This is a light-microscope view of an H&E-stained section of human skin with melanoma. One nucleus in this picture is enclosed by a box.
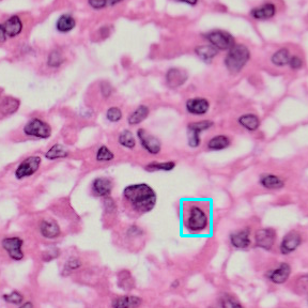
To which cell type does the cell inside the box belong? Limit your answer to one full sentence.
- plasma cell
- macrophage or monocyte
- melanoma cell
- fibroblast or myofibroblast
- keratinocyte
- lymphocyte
So far as cell type goes, the cell inside the box is a macrophage or monocyte.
